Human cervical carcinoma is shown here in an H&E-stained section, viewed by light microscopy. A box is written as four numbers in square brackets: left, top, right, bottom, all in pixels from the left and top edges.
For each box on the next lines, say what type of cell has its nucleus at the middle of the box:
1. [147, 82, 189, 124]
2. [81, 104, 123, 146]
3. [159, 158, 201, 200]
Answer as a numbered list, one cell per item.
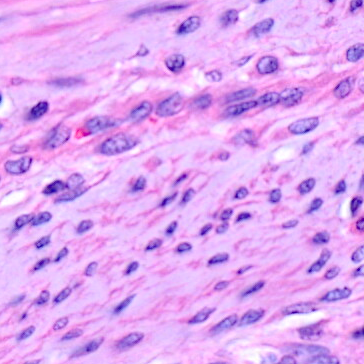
1. endothelial cell
2. endothelial cell
3. smooth muscle cell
